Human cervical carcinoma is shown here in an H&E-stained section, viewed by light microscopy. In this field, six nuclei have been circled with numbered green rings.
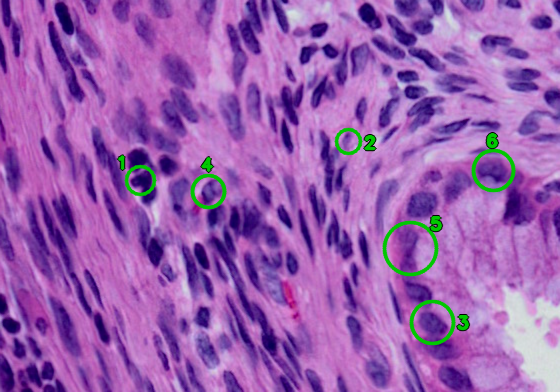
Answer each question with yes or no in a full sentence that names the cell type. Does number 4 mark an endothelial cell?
Yes, as for number 4, the cell is an endothelial cell.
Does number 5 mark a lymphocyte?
No, the cell carrying number 5 is a secretory epithelial cell rather than a lymphocyte.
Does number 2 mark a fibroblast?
Yes, the cell that number 2 points to is a fibroblast.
